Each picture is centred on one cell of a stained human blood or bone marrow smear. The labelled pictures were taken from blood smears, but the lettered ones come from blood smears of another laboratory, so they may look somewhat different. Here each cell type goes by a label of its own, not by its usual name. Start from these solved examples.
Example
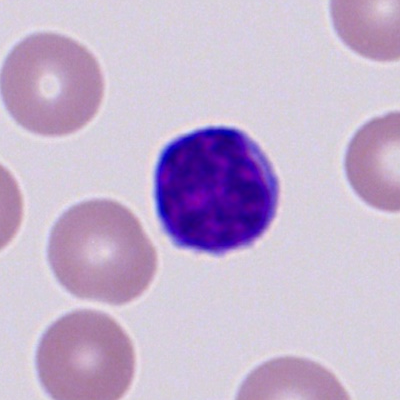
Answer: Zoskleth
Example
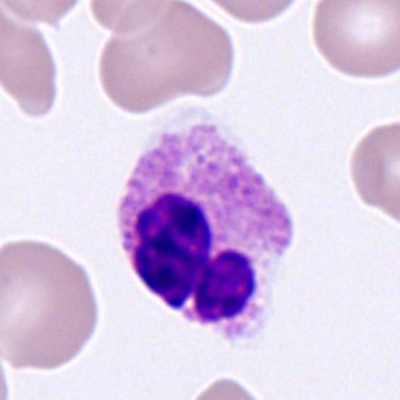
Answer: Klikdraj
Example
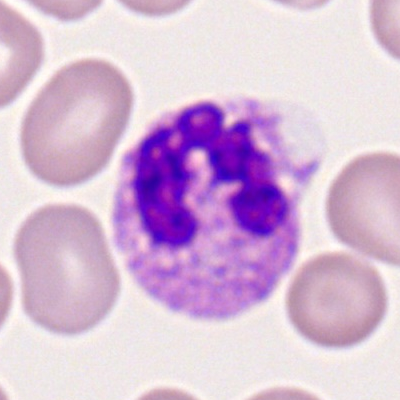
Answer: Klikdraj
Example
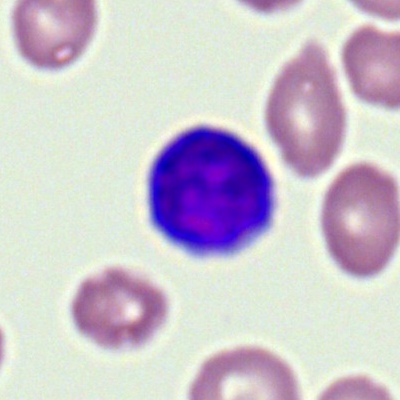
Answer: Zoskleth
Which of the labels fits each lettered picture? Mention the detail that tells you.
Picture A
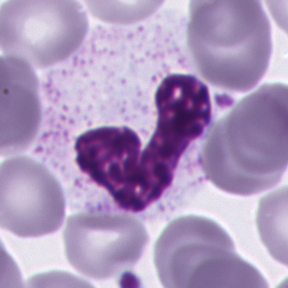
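Klikdraj: The cytoplasm is abundant and very pale, widest on the upper-left side.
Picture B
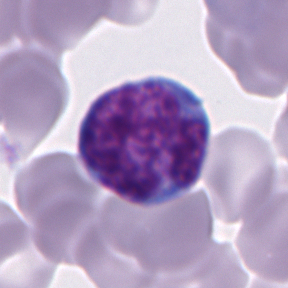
Zoskleth: The cytoplasm is only a thin rim around the nucleus.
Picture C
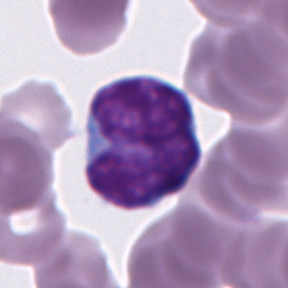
Zoskleth: Cytoplasm is scant and shows mainly as a small wedge in the left notch of the nucleus.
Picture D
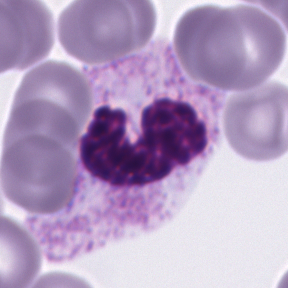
Klikdraj: The cytoplasm is abundant and pale pinkish-lilac.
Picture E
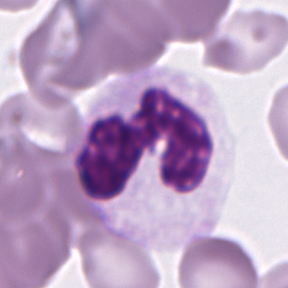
Klikdraj: The cytoplasm is abundant and pale pinkish-lilac.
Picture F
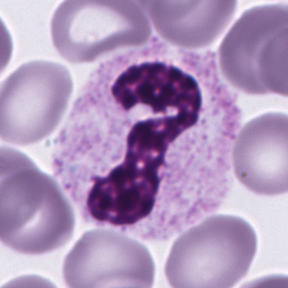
Klikdraj: The cytoplasm is abundant and pale pink.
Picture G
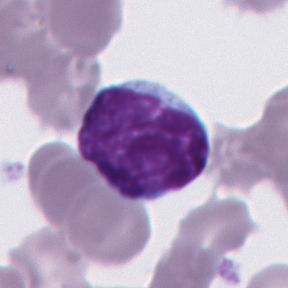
Zoskleth: The cytoplasm is a narrow rim that is widest along the top edge of the cell.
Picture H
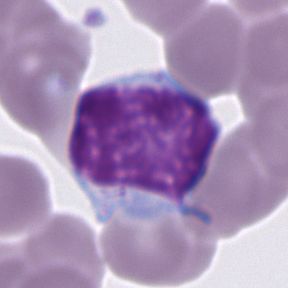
Zoskleth: The cytoplasm is pale blue and forms only a thin rim, widest below the nucleus.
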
